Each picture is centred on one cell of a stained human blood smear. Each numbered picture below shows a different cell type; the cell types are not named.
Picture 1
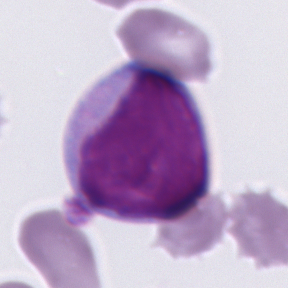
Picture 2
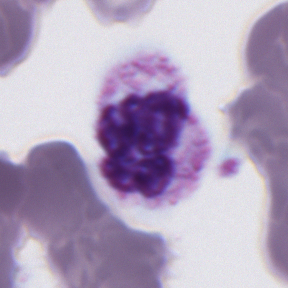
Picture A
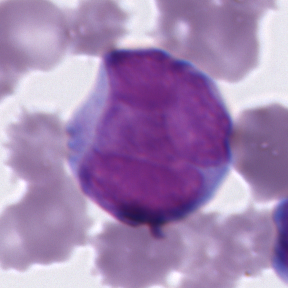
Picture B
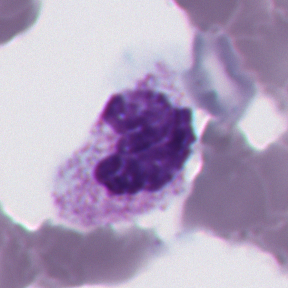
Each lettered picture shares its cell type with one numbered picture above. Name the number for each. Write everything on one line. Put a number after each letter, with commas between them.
A 1, B 2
